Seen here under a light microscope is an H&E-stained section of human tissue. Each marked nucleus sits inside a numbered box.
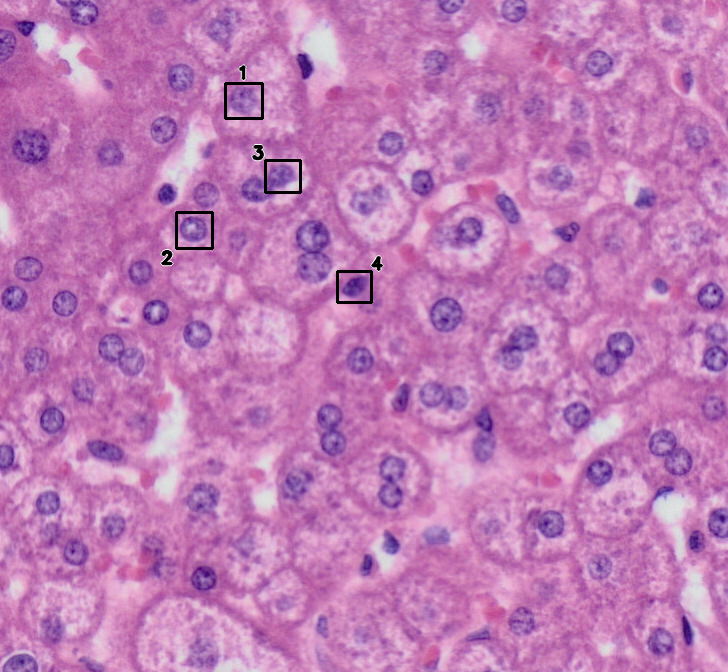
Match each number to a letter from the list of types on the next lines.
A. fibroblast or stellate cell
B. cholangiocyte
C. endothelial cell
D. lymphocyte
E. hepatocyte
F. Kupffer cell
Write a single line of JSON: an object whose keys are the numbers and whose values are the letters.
{"1": "E", "2": "E", "3": "E", "4": "A"}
